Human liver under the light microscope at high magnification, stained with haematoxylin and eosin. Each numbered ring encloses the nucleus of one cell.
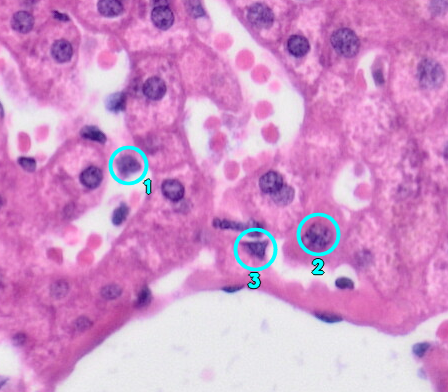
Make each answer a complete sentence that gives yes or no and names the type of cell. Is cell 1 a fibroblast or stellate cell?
No, cell 1 is not a fibroblast or stellate cell: it is a Kupffer cell.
